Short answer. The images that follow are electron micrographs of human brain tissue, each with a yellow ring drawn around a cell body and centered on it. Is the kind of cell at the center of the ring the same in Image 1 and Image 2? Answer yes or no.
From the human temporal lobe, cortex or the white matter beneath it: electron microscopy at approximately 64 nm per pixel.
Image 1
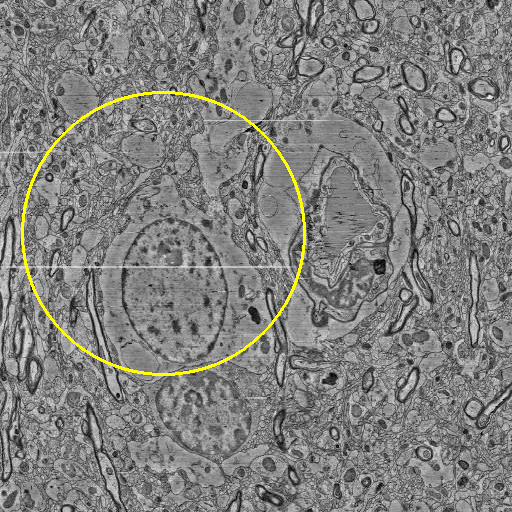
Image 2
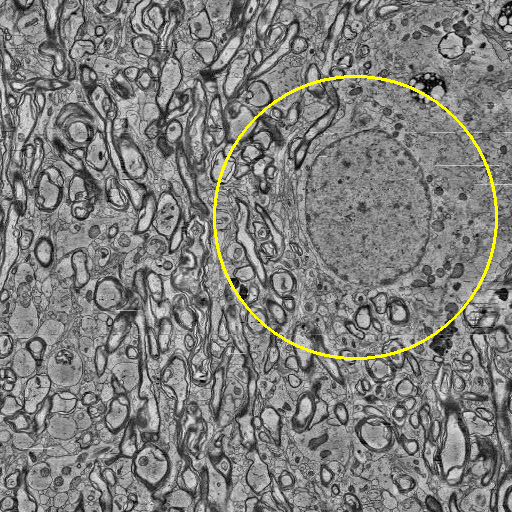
yes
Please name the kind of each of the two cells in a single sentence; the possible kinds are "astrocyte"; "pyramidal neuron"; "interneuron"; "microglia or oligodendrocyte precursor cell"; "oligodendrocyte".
In both pictures the ring is centred on an astrocyte.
